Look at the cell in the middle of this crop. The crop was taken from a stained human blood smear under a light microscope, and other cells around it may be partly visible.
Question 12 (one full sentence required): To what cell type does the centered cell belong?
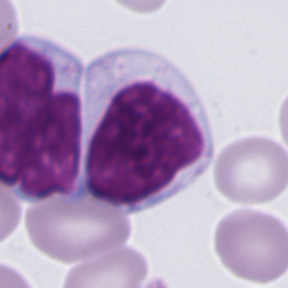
Where the crop is centred, there is a large granular lymphocyte.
